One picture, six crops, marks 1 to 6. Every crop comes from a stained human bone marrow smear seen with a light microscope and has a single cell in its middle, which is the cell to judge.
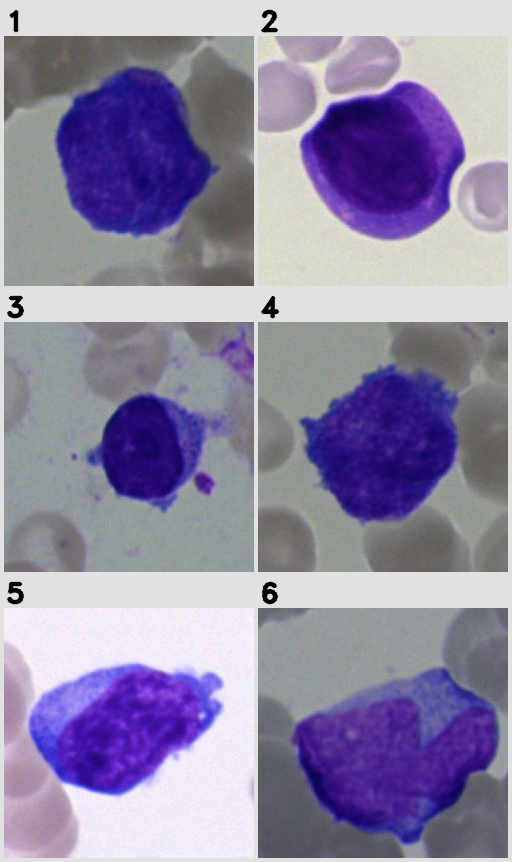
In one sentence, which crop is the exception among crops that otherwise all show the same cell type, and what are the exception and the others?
With the other crops all showing blasts, crop 3 differs by showing a lymphocyte.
